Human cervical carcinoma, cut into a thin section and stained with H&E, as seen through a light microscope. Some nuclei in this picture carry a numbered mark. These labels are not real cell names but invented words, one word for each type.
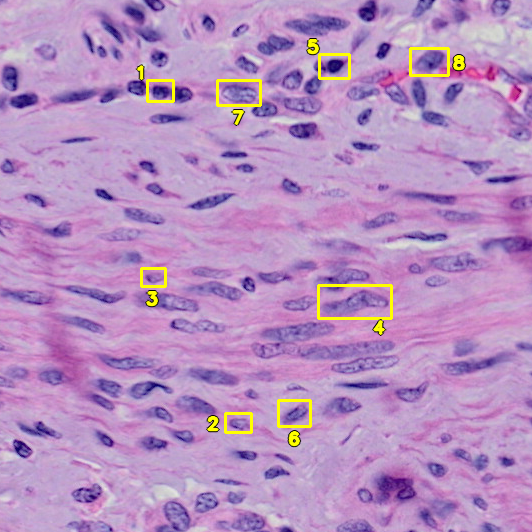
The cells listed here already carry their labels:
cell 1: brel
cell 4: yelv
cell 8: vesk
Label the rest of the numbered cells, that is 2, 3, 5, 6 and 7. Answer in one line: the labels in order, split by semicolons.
yelv; yelv; brel; yelv; vesk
